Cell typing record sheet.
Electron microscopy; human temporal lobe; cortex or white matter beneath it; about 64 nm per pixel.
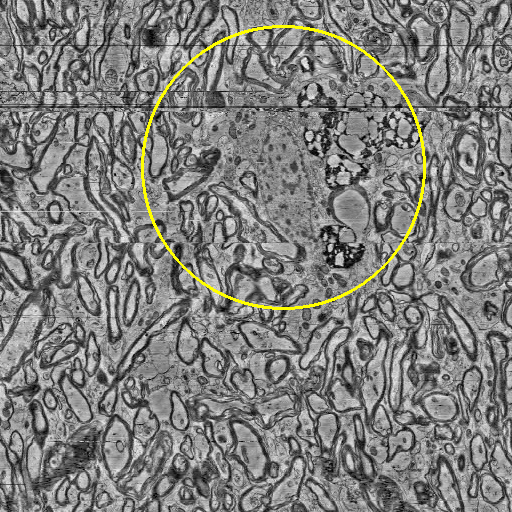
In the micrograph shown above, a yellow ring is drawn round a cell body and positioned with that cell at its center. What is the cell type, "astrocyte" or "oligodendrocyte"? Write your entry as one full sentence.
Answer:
The cell body at the center of the ring belongs to an astrocyte.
